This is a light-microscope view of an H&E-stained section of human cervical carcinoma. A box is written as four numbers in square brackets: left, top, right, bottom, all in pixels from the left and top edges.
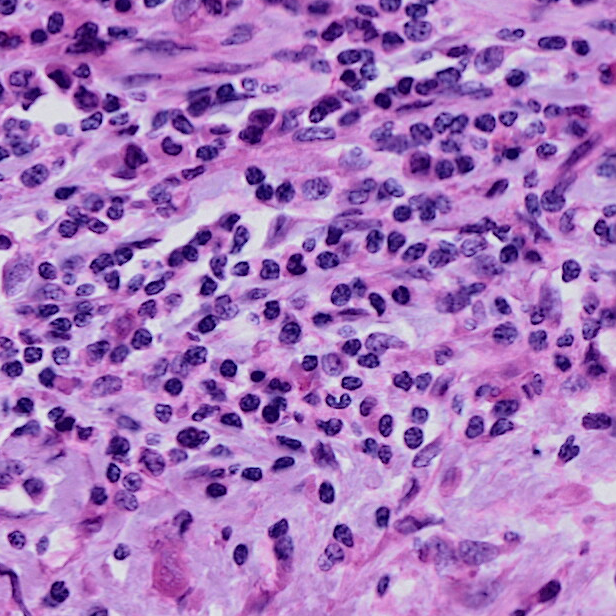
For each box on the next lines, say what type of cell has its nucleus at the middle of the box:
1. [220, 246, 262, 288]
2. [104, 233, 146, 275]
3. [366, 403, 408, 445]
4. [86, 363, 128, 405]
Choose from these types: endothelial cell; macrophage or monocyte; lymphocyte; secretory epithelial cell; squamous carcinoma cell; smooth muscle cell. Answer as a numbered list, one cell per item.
1. lymphocyte
2. lymphocyte
3. lymphocyte
4. macrophage or monocyte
